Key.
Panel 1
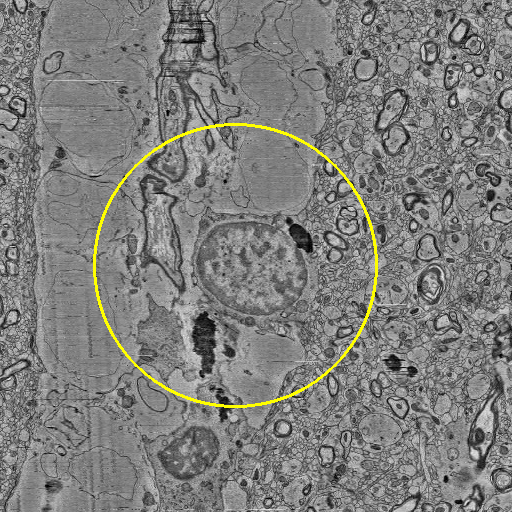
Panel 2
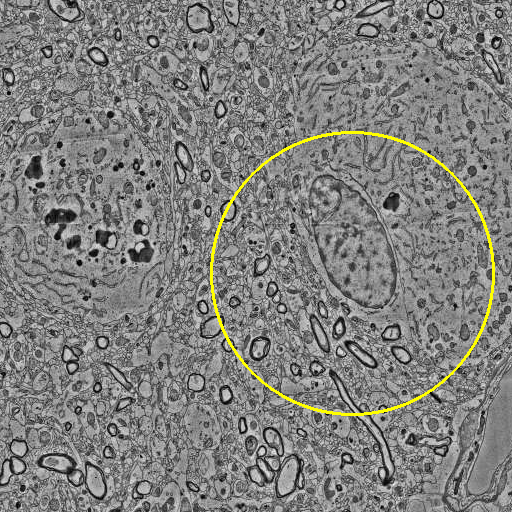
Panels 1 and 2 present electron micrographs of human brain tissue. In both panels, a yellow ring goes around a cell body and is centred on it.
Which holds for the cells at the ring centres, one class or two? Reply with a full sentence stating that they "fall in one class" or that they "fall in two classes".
Taken together, the ring-centre cells of the two panels fall in two classes.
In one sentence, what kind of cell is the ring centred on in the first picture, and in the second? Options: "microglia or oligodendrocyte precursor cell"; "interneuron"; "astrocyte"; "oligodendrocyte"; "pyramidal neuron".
The cell at the centre of the second ring is a microglial cell or oligodendrocyte precursor cell; the first ring's cell is an oligodendrocyte.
